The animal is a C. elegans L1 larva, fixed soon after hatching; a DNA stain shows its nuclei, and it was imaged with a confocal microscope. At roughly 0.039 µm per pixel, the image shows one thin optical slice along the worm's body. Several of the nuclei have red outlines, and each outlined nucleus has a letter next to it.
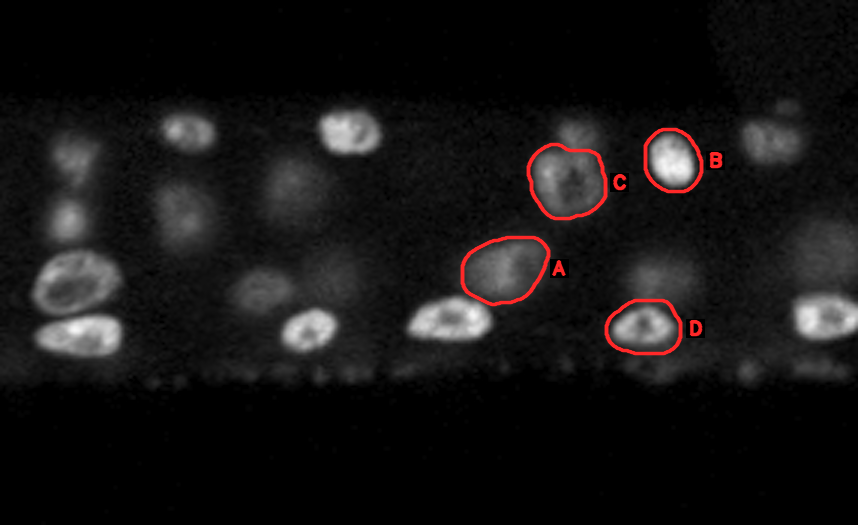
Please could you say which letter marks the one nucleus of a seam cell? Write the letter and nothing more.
A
